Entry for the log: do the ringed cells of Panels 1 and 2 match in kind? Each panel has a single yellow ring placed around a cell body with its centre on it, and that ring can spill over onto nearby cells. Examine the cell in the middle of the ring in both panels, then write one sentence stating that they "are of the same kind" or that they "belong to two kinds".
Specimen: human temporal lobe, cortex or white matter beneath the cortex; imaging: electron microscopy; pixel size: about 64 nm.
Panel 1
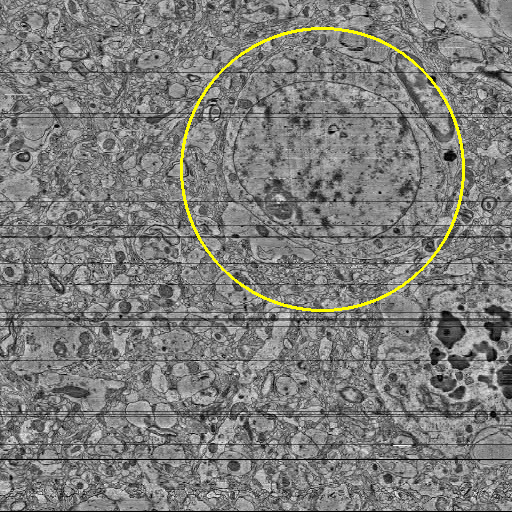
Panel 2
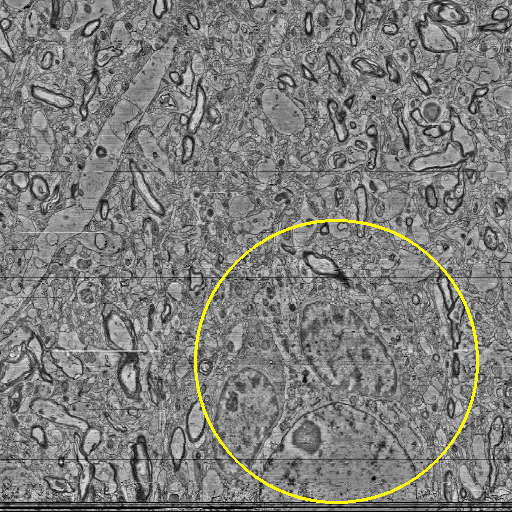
The centre cell of Panel 1's ring and that of Panel 2's ring belong to two kinds.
